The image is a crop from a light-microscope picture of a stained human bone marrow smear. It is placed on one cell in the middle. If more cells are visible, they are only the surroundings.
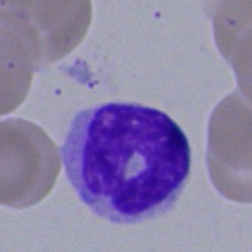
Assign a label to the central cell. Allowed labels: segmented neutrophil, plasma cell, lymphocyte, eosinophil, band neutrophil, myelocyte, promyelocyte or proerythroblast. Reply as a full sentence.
To answer, the cell in the center of the crop is a band neutrophil.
